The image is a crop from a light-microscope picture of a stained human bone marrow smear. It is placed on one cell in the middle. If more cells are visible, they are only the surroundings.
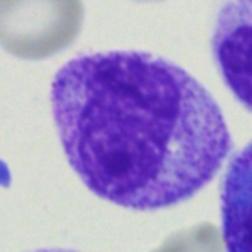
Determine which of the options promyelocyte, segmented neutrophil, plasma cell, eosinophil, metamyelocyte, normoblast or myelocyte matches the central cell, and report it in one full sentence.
The single cell at the center of the crop is a myelocyte.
